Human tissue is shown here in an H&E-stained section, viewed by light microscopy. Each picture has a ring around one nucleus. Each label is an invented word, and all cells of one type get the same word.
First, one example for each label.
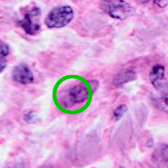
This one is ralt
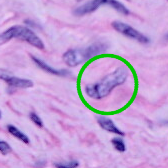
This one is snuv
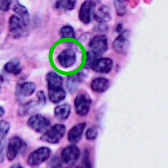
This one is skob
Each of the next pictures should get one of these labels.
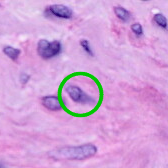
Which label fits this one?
snuv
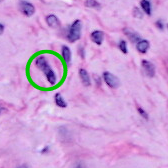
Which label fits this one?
snuv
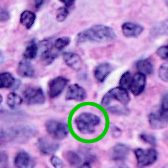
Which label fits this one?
skob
